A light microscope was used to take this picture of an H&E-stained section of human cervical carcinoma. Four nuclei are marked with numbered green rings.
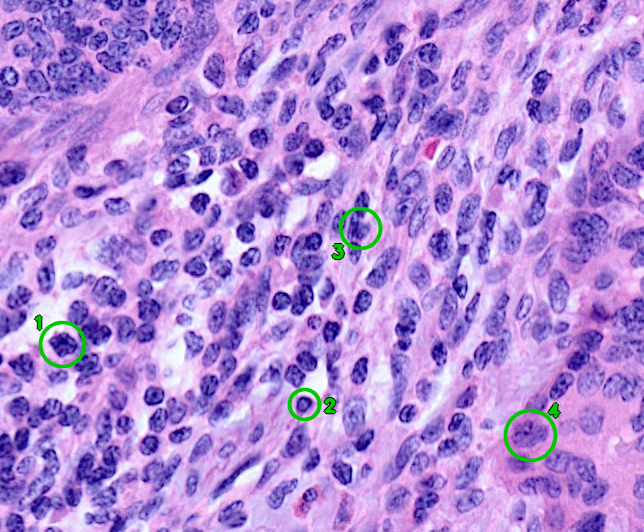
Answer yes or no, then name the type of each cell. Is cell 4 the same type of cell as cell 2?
No, cell 4 is a squamous carcinoma cell and cell 2, for its part, is a lymphocyte.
